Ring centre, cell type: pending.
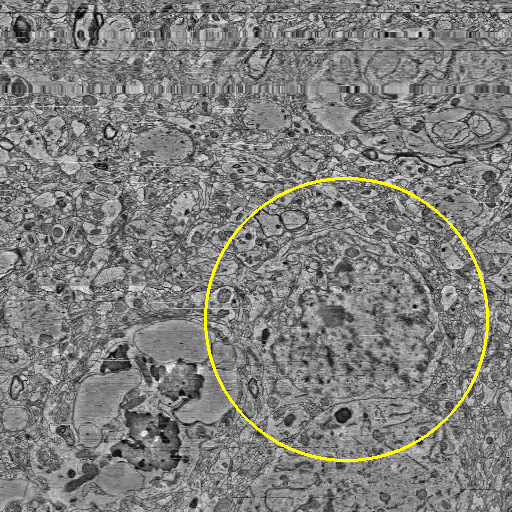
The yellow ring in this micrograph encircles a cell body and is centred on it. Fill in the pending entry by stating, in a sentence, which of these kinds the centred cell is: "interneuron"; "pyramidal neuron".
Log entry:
The centred cell is recorded as an interneuron.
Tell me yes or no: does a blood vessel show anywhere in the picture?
Yes, one is visible.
